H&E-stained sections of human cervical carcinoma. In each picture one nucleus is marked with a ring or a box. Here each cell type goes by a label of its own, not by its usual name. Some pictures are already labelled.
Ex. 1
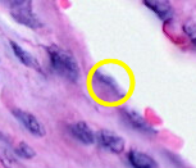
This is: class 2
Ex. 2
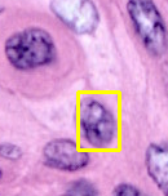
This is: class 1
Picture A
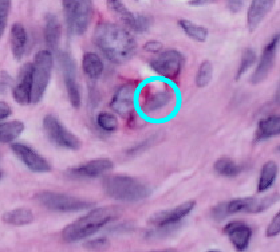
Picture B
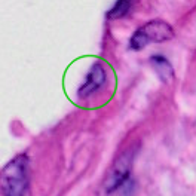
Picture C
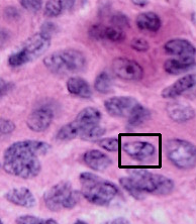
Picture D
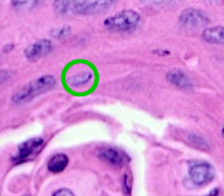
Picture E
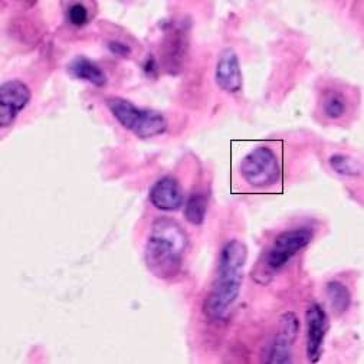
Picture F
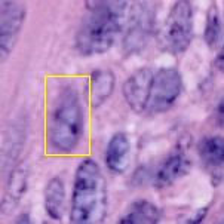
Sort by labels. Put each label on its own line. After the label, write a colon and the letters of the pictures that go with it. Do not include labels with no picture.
class 2: A, B
class 1: C, D, E, F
